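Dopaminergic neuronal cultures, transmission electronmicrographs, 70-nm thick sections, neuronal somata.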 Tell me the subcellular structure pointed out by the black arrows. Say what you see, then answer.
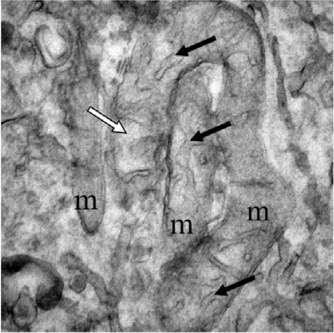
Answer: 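The black arrows point at membrane folds inside mitochondria.
Conclusion: cristae of the inner mitochondrial membrane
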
